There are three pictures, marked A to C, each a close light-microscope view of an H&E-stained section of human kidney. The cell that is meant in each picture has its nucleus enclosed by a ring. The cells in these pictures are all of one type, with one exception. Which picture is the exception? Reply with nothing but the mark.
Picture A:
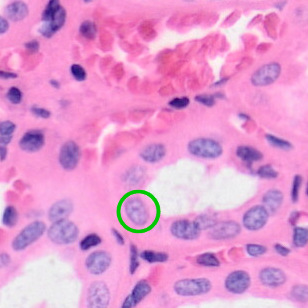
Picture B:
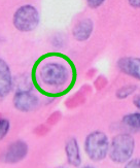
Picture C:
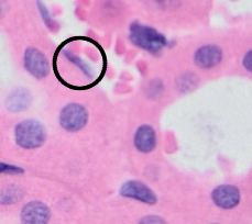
C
